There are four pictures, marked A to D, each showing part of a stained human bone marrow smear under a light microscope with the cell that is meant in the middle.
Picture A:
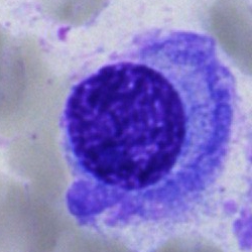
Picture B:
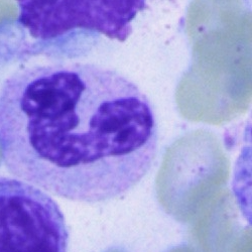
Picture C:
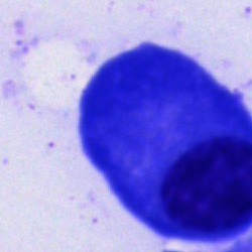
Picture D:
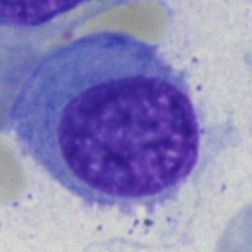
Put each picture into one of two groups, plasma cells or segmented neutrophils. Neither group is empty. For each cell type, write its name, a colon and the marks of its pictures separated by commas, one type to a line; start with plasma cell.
plasma cell: A, C, D
segmented neutrophil: B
